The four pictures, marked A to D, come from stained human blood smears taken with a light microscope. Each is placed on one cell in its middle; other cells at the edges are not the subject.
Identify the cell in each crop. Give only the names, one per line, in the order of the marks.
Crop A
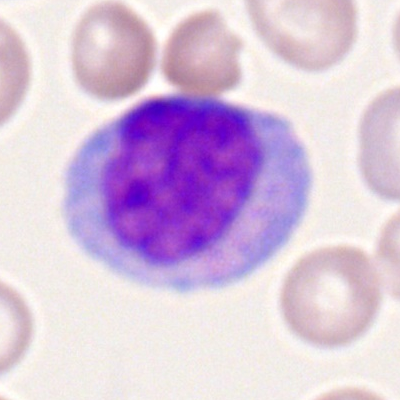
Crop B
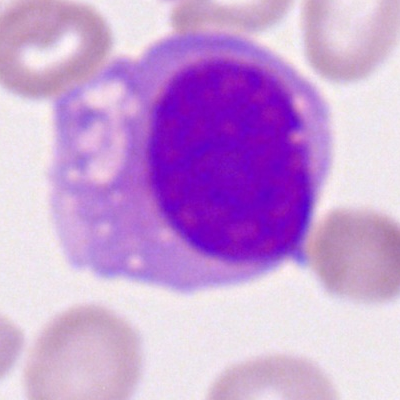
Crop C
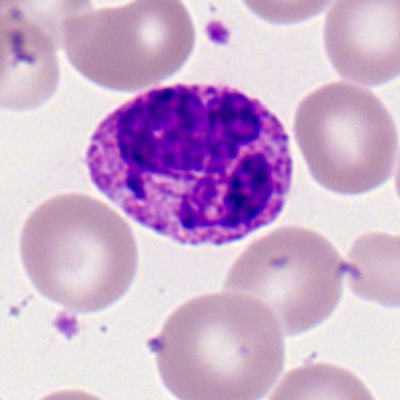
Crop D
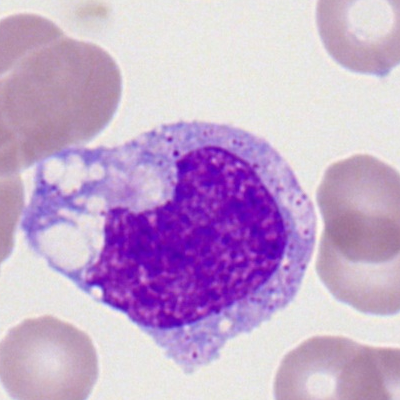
monocyte
monocyte
basophil
monocyte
